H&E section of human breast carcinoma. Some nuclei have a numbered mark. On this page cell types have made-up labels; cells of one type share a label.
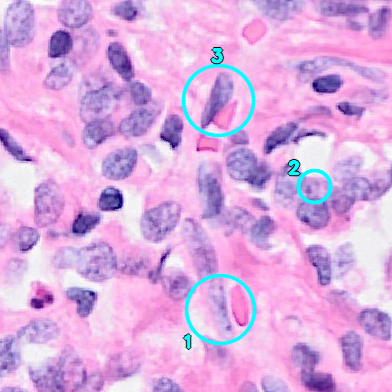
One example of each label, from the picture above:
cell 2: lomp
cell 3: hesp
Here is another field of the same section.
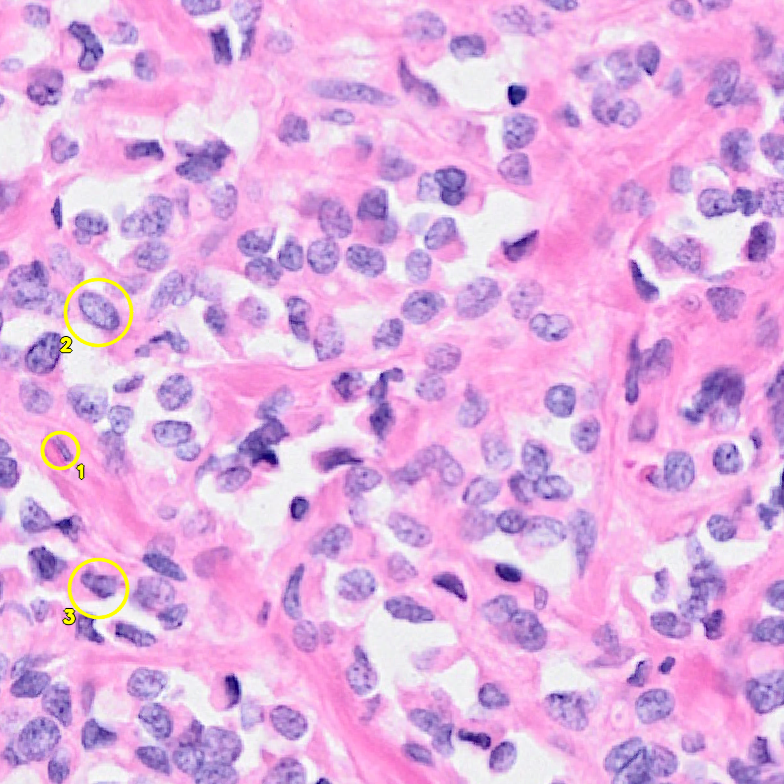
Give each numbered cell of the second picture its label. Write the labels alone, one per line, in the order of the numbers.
hesp
lomp
lomp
